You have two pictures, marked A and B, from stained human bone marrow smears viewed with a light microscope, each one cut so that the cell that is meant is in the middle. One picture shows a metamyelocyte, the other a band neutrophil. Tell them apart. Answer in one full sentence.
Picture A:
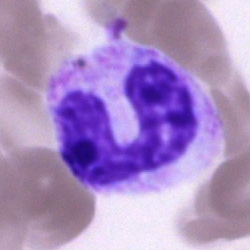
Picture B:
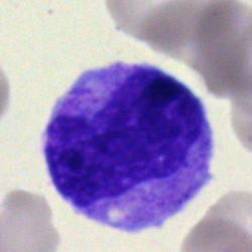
Picture B shows a metamyelocyte, while picture A shows a band neutrophil.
